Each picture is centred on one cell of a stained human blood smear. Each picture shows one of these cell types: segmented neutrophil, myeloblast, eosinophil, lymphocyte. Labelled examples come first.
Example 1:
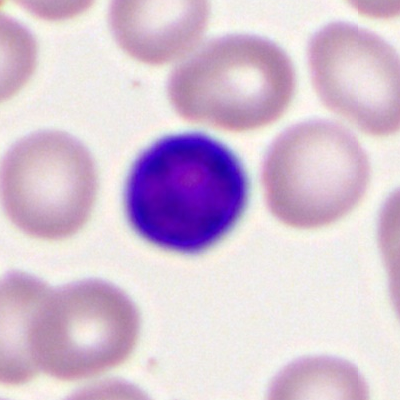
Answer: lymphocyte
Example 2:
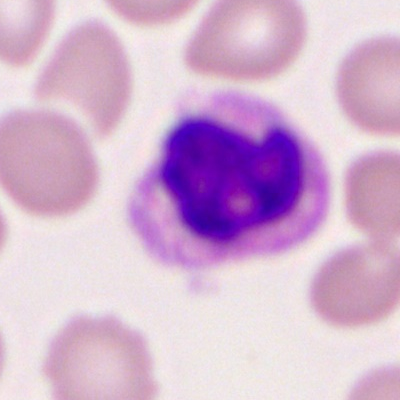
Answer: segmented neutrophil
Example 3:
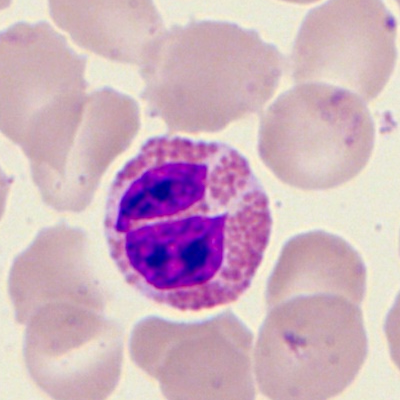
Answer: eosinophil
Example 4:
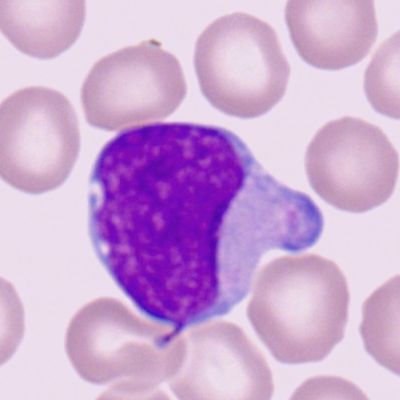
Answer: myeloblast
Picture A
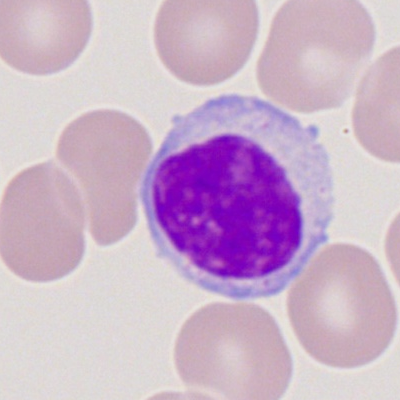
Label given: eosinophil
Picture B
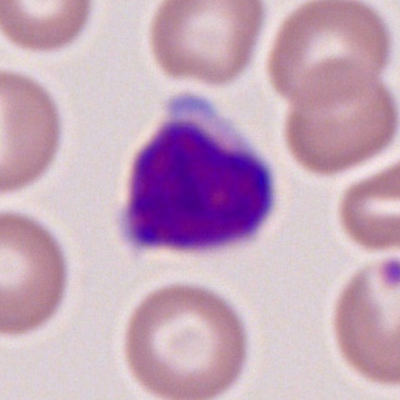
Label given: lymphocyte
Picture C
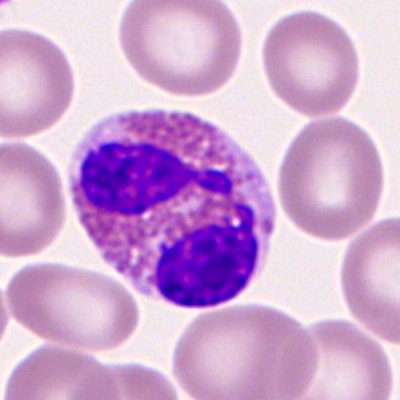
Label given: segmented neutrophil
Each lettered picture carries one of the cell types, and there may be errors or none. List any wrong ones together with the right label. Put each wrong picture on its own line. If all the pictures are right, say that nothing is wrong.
A: lymphocyte, not eosinophil
C: eosinophil, not segmented neutrophil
